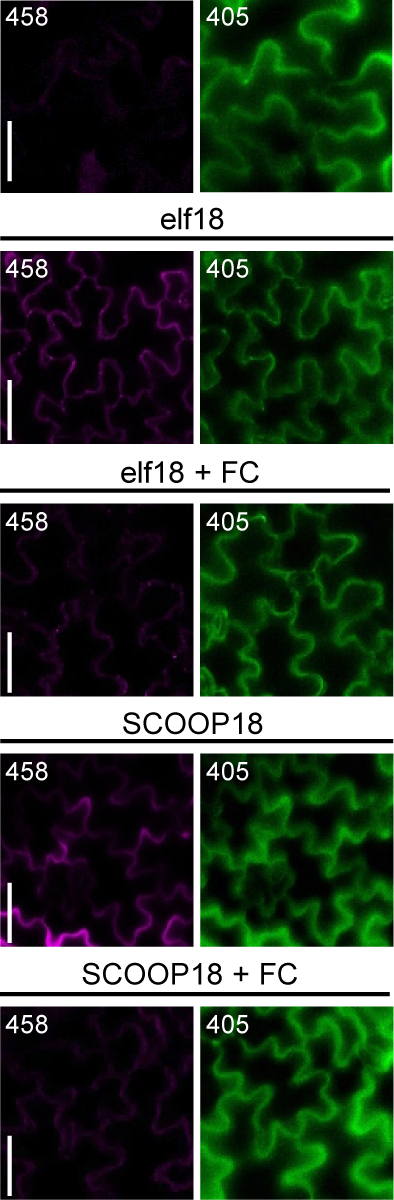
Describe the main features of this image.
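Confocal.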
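The fluorescence lies along the boundaries between neighbouring cells and traces their lobed walls as thin lines, while the cell interiors stay dark. The green channel outlines the same cell boundaries clearly in every image, whereas the magenta channel is faint in some images and brighter in others.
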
